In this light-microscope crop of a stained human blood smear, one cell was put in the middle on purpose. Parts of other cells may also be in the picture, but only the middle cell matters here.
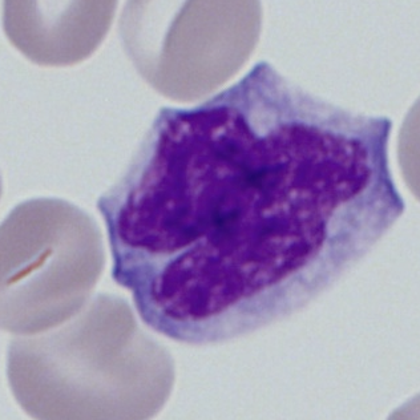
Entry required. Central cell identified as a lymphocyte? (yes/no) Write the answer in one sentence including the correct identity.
No, the central cell is designated a monocyte and not a lymphocyte.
